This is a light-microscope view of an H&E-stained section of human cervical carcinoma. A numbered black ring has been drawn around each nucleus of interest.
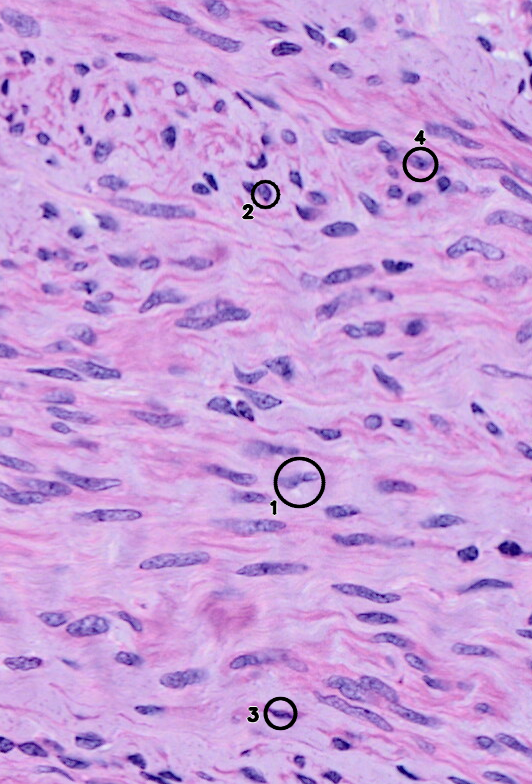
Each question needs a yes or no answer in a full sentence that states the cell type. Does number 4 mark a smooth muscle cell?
Yes, the cell indicated by number 4 is a smooth muscle cell.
